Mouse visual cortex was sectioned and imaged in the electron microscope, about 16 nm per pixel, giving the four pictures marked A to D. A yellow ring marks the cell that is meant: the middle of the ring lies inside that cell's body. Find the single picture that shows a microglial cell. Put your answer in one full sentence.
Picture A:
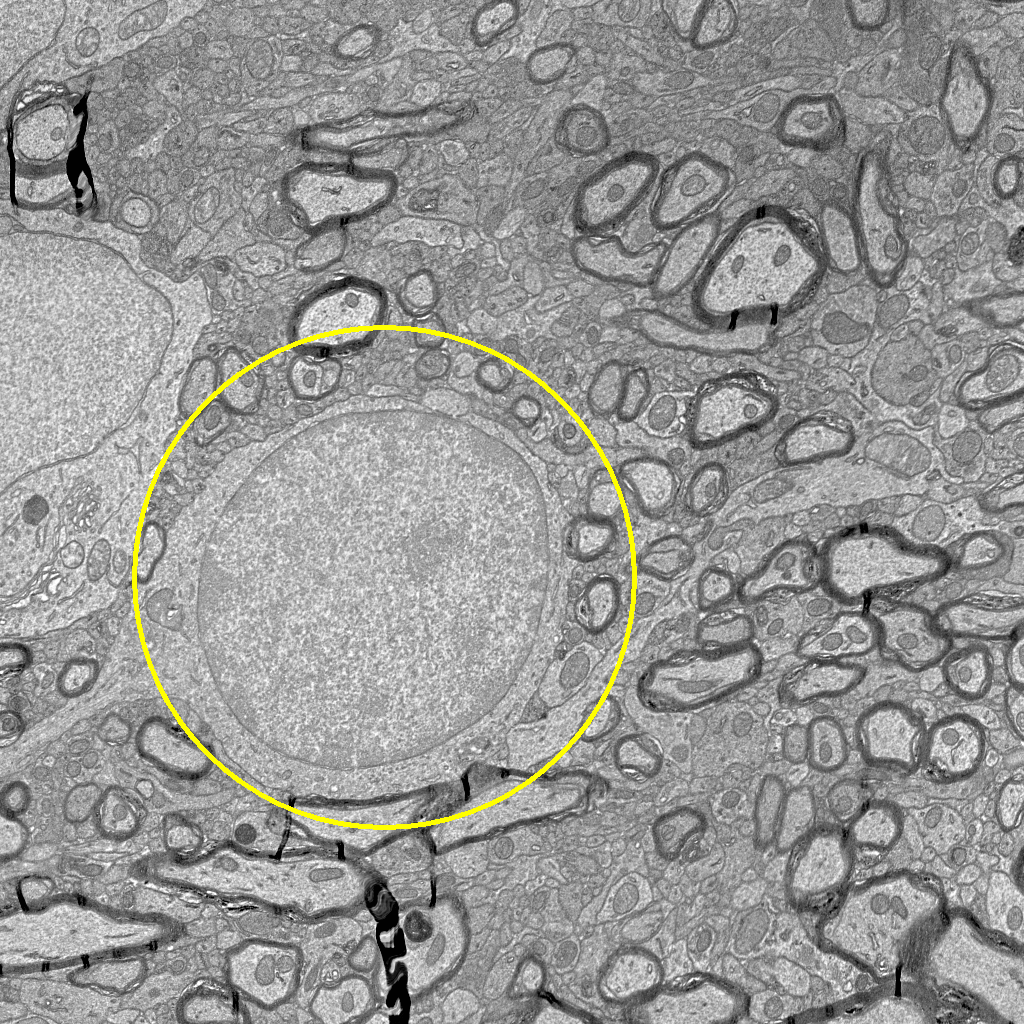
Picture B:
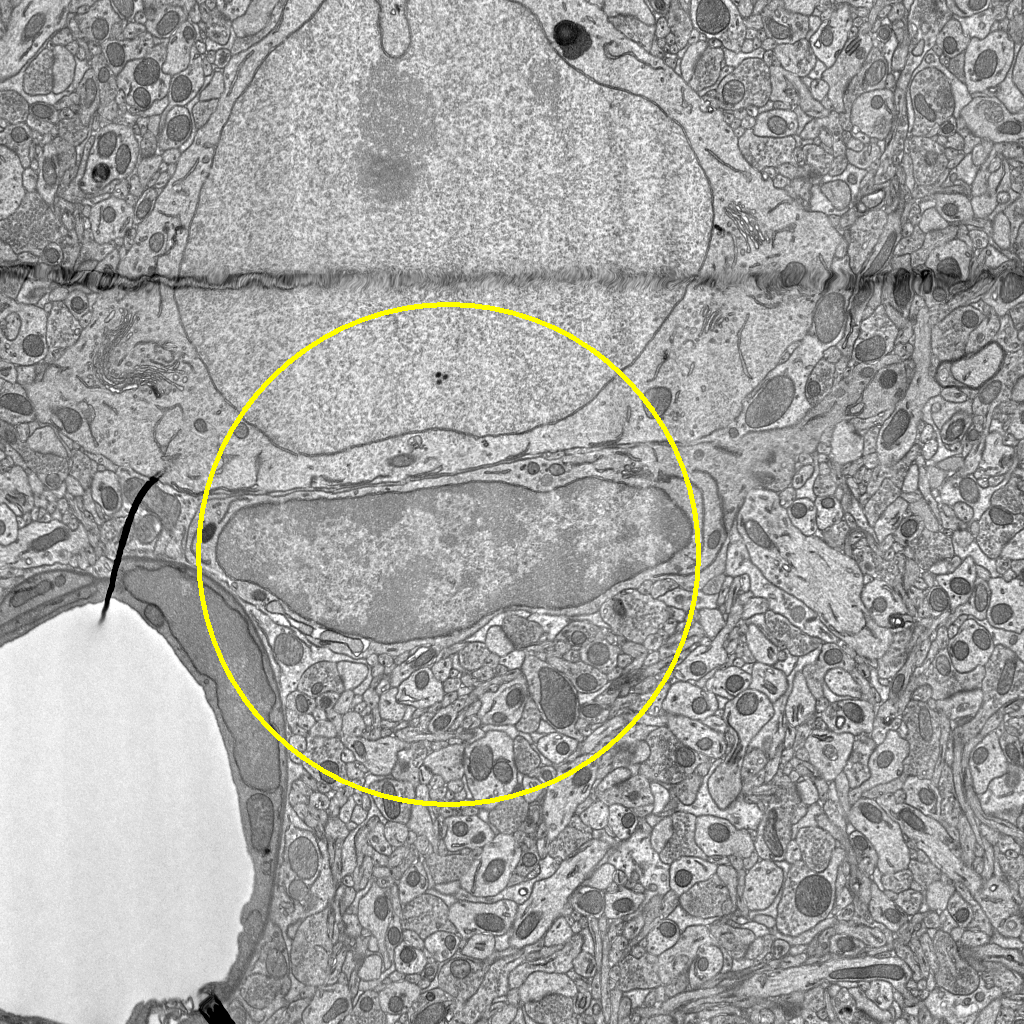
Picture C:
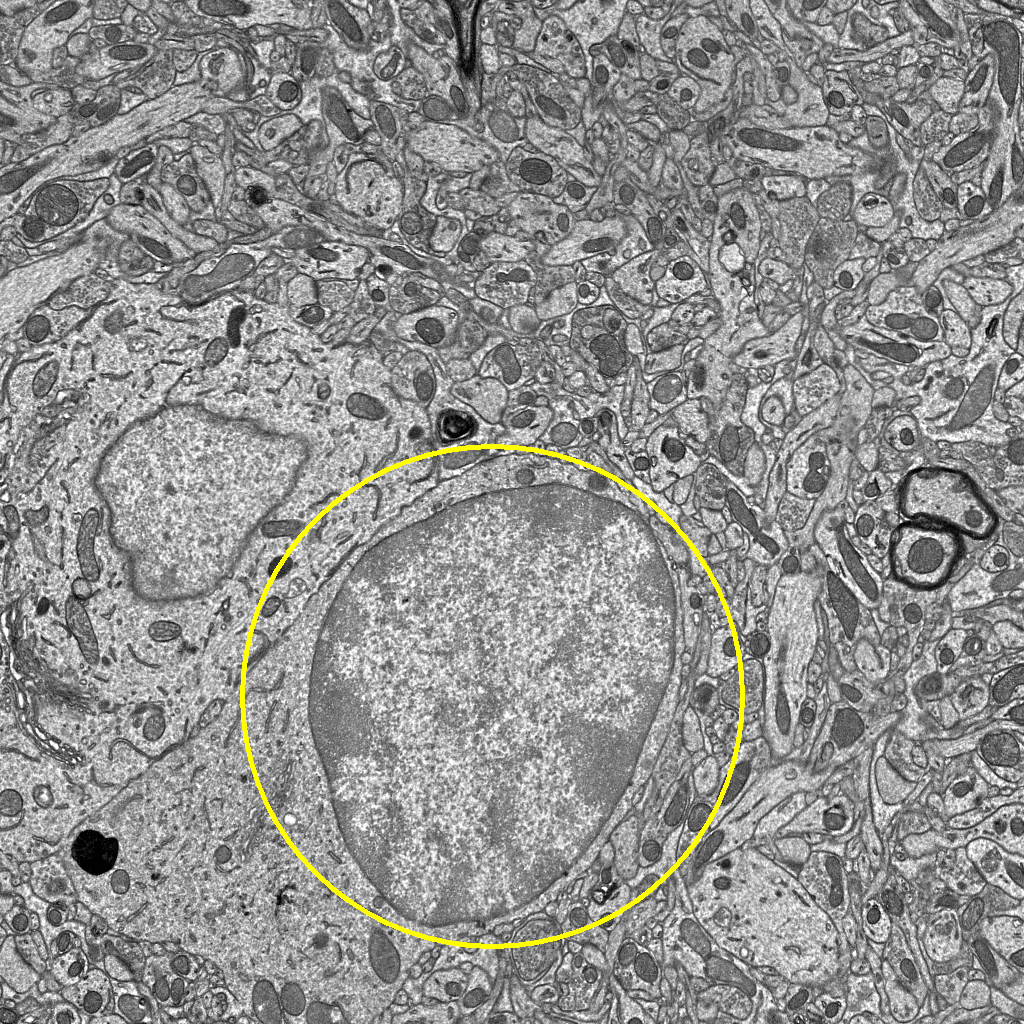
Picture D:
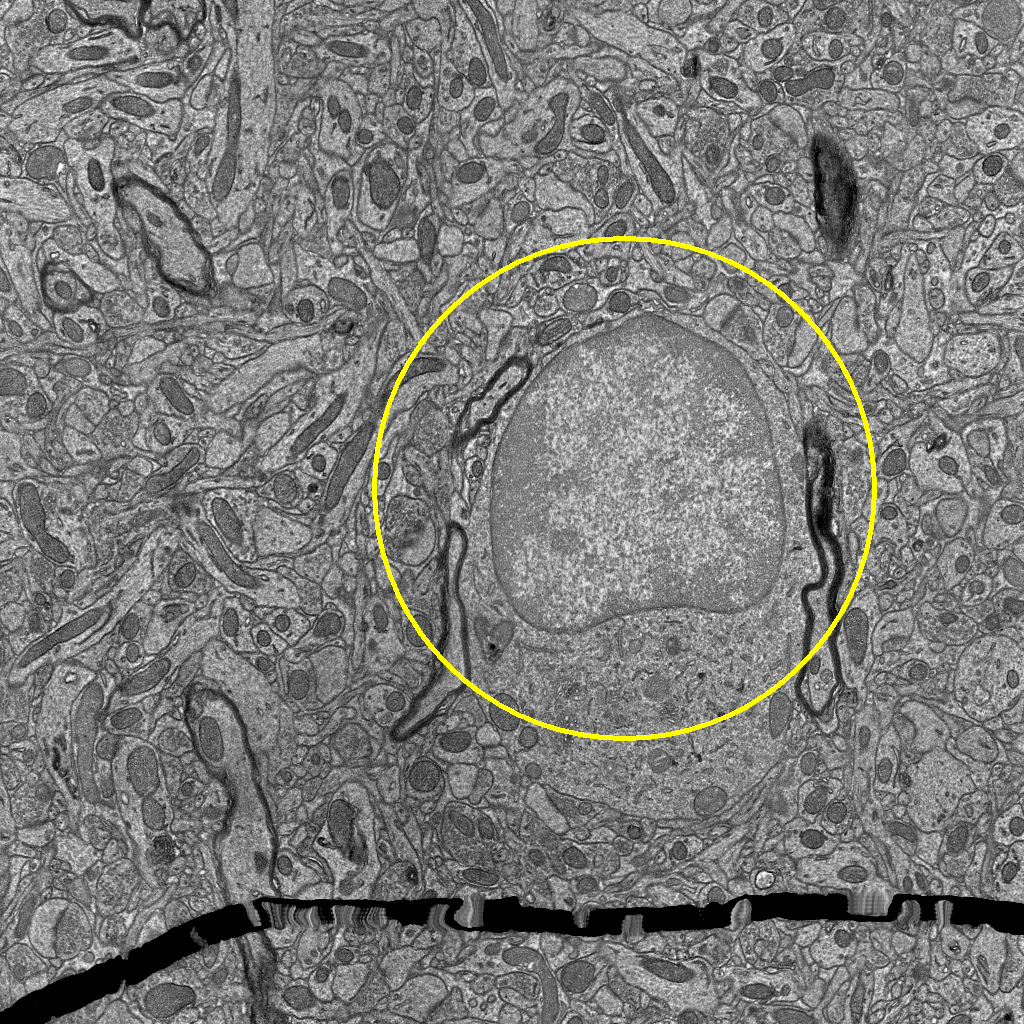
The cell in picture B is the microglial cell.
